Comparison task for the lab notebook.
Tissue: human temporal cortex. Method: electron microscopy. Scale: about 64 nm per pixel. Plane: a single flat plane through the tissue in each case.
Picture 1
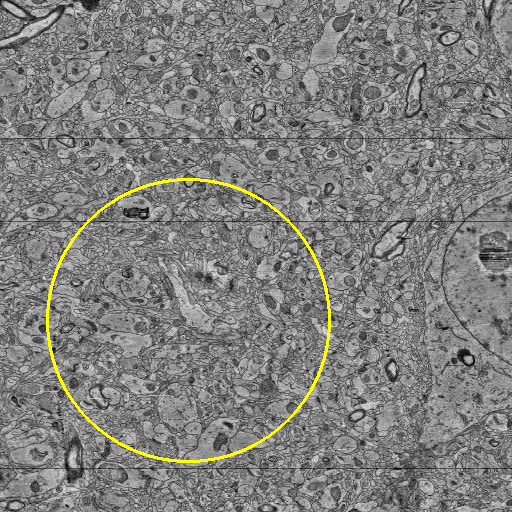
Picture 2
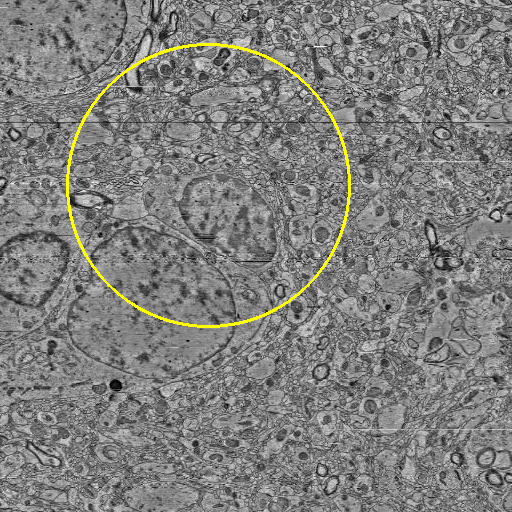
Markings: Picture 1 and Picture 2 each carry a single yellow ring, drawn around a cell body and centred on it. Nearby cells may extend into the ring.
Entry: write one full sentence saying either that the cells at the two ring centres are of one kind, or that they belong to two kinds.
The cells sitting at the ring centres in Picture 1 and Picture 2 are of one kind.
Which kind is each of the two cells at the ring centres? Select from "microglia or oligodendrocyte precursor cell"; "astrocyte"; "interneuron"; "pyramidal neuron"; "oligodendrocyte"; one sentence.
The ring centre holds an oligodendrocyte in each of the two pictures.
